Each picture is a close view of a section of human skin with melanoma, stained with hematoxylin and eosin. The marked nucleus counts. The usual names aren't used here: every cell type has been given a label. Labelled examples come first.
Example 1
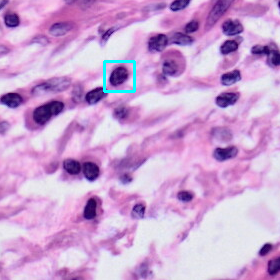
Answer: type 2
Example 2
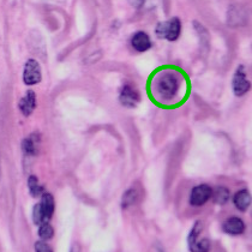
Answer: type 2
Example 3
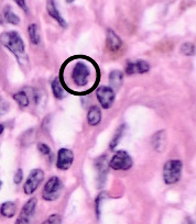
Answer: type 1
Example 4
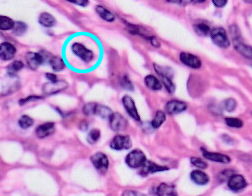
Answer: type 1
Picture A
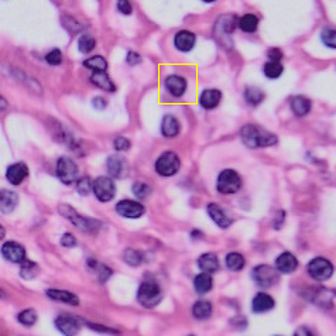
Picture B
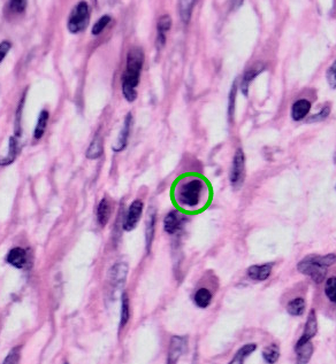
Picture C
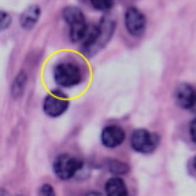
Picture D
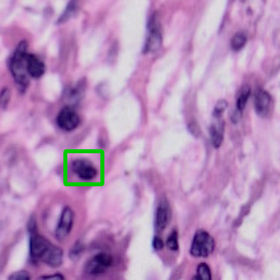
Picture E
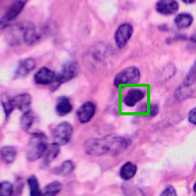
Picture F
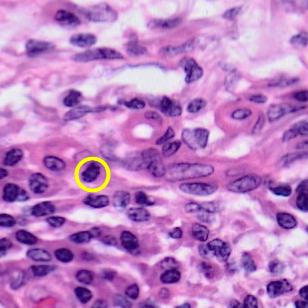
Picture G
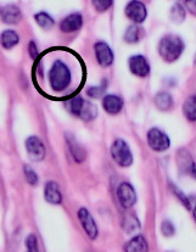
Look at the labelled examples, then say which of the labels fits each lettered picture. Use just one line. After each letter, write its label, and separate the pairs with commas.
A type 1, B type 2, C type 2, D type 2, E type 1, F type 2, G type 1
